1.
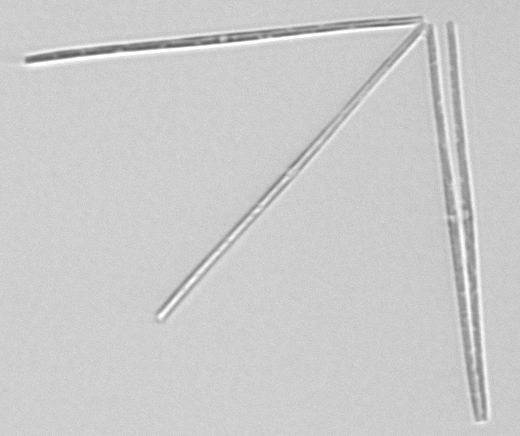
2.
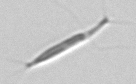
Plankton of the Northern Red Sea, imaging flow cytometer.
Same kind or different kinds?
Different: the first is Thalassionema, the second Calciosolenia.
